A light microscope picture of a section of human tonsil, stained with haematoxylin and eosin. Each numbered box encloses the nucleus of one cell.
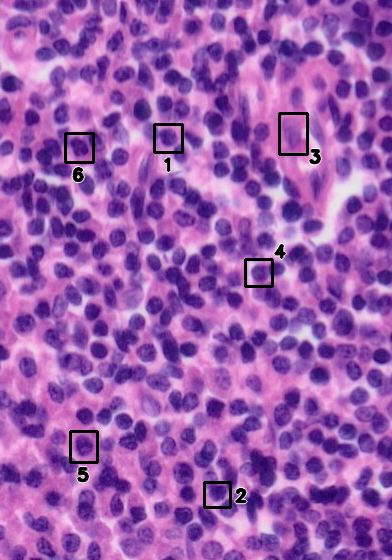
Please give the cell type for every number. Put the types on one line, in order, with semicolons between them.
small lymphocyte; small lymphocyte; endothelial cell; small lymphocyte; plasma cell; plasma cell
